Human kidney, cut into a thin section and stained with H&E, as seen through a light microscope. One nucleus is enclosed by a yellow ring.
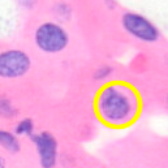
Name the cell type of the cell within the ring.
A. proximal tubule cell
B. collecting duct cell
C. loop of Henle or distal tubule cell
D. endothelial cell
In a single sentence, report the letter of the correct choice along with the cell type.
Looking at the options, pick C; the cell within the ring is a loop of Henle or distal tubule cell.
